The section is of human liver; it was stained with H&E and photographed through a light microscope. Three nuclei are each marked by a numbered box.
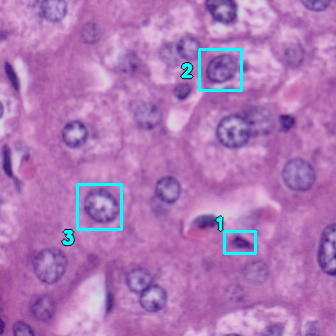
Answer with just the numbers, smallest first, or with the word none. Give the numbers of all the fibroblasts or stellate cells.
1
